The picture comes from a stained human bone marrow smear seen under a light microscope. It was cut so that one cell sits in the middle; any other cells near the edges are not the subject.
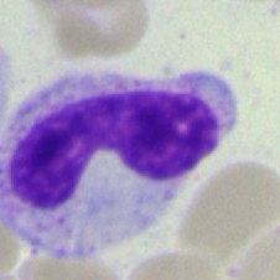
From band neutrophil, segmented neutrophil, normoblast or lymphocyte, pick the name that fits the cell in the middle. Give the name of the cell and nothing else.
band neutrophil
